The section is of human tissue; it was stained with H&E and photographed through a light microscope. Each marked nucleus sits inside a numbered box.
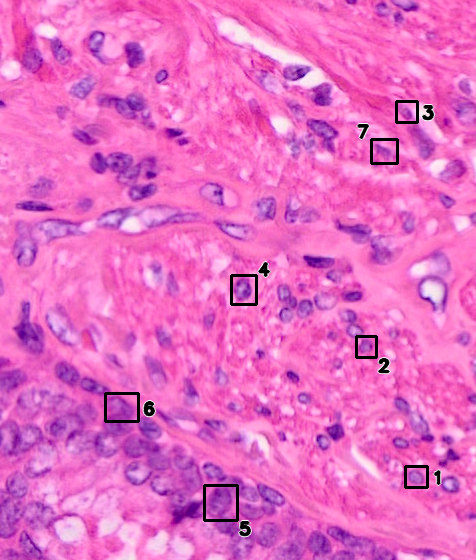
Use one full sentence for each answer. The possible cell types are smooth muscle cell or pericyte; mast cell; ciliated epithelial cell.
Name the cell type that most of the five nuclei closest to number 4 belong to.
Most of the five nuclei nearest to number 4 are those of smooth muscle cells or pericytes.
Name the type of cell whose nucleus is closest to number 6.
Number 6 lies closest to the nucleus of a ciliated epithelial cell.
